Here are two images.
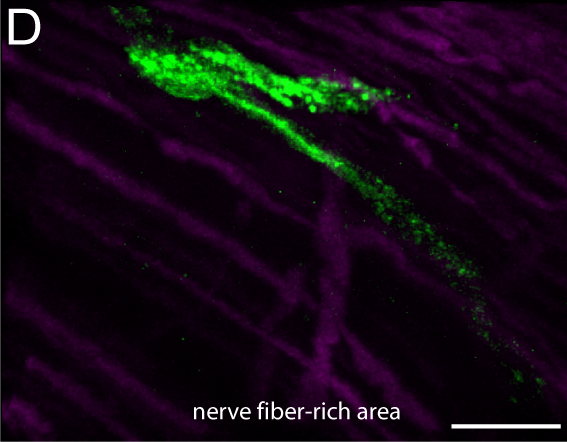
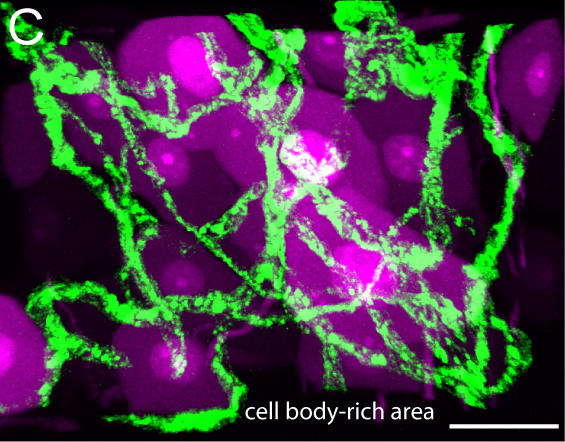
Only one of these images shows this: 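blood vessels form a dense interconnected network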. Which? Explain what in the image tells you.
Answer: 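First image: only a single green vessel segment runs among parallel magenta fibers. Second image: many green branching vessels interweave densely around large magenta cell bodies.
Hence: the second image.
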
